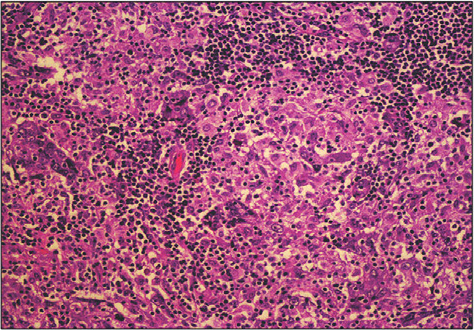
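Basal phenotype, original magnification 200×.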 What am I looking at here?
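Breast carcinoma with a dense lymphocytic infiltrate. Large tumor cells with abundant pink cytoplasm and large vesicular nuclei with visible nucleoli form ill-defined sheets and clusters. Between and within these sheets lie masses of small round lymphocytes with dark, compact nuclei and scant cytoplasm, densest in bands and patches, especially along the top. Tumor cells and lymphocytes are closely intermixed with little intervening stroma; a small vessel with red cells is seen near the center left.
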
